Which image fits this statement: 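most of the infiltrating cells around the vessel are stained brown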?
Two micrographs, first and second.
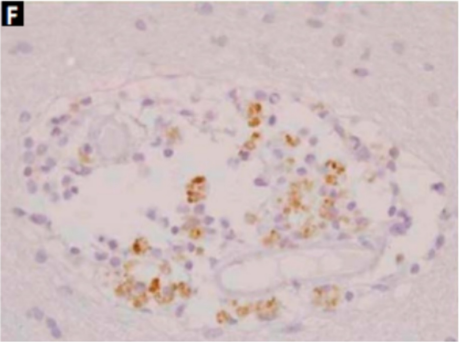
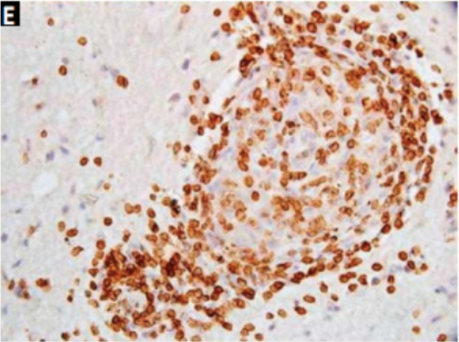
The second image.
